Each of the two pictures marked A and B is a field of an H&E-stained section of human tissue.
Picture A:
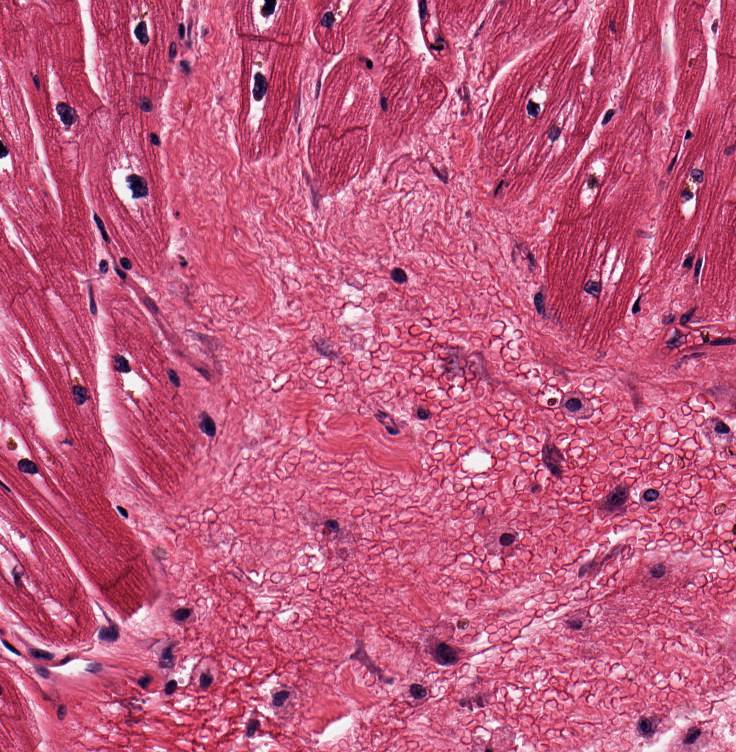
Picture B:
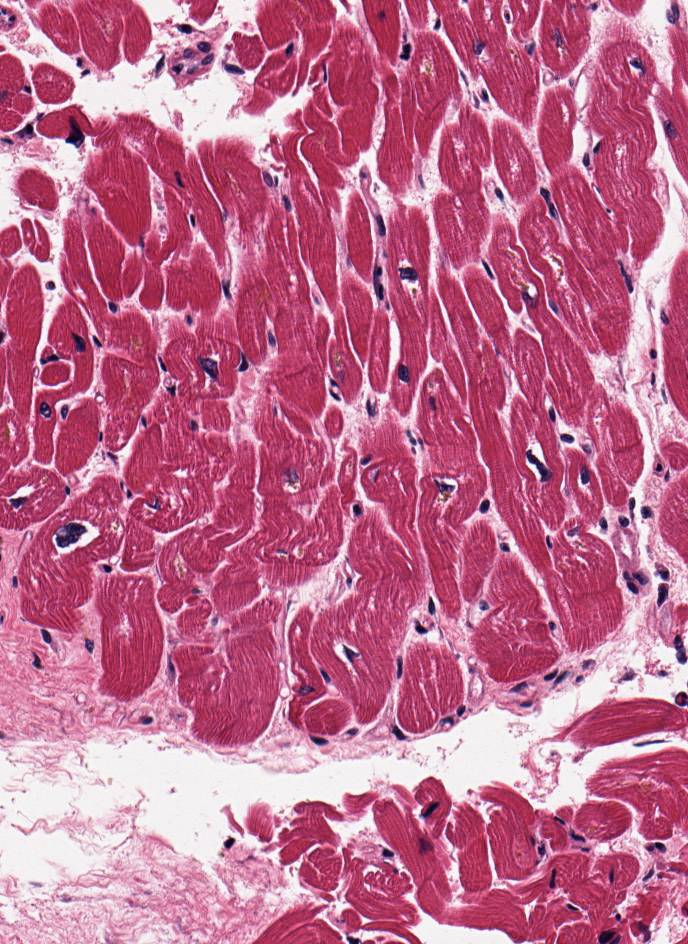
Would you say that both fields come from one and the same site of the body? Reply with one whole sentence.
Yes, both come from the left ventricle of the heart.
